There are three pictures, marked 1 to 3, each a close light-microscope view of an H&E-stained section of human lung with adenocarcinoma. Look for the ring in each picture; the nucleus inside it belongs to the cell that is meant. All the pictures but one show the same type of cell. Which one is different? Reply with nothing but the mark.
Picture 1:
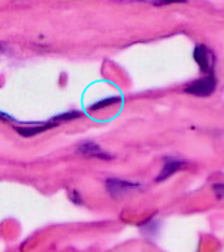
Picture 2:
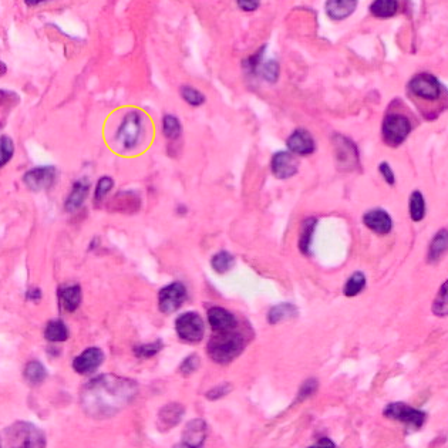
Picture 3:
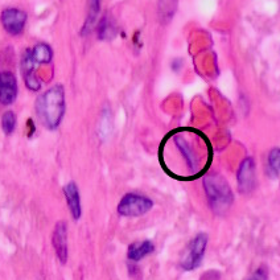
2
